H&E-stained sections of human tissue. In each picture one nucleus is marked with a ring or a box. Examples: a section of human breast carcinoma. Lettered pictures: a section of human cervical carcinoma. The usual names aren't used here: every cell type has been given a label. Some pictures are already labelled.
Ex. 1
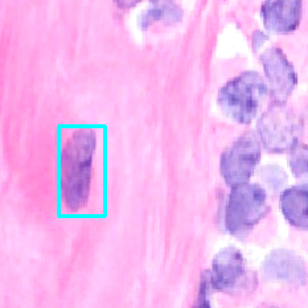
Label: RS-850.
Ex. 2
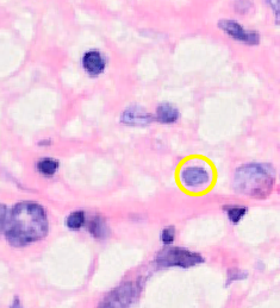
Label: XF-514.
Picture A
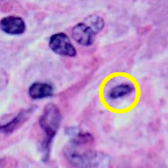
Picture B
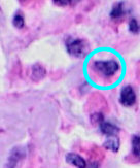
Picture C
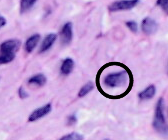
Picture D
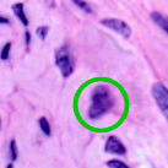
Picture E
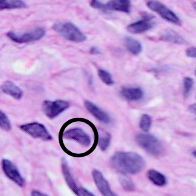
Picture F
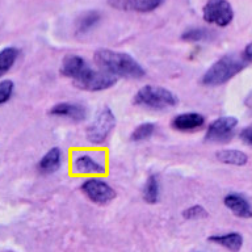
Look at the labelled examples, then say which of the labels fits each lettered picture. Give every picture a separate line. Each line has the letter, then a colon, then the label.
A: XF-514.
B: XF-514.
C: RS-850.
D: RS-850.
E: RS-850.
F: RS-850.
